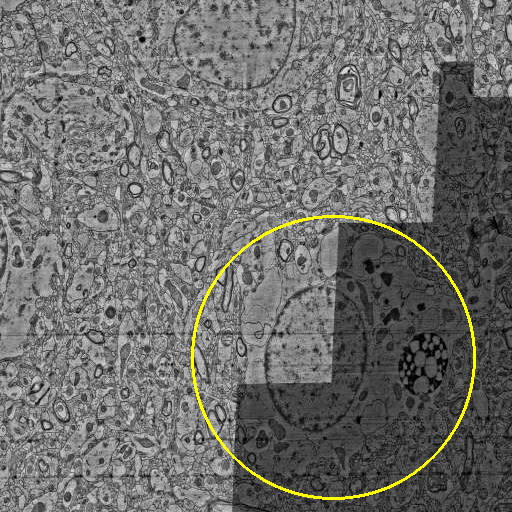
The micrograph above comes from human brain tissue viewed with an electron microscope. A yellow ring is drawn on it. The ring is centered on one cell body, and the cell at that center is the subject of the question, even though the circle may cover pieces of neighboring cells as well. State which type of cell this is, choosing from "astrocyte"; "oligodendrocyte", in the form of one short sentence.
The cell the ring is centered on is an astrocyte.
